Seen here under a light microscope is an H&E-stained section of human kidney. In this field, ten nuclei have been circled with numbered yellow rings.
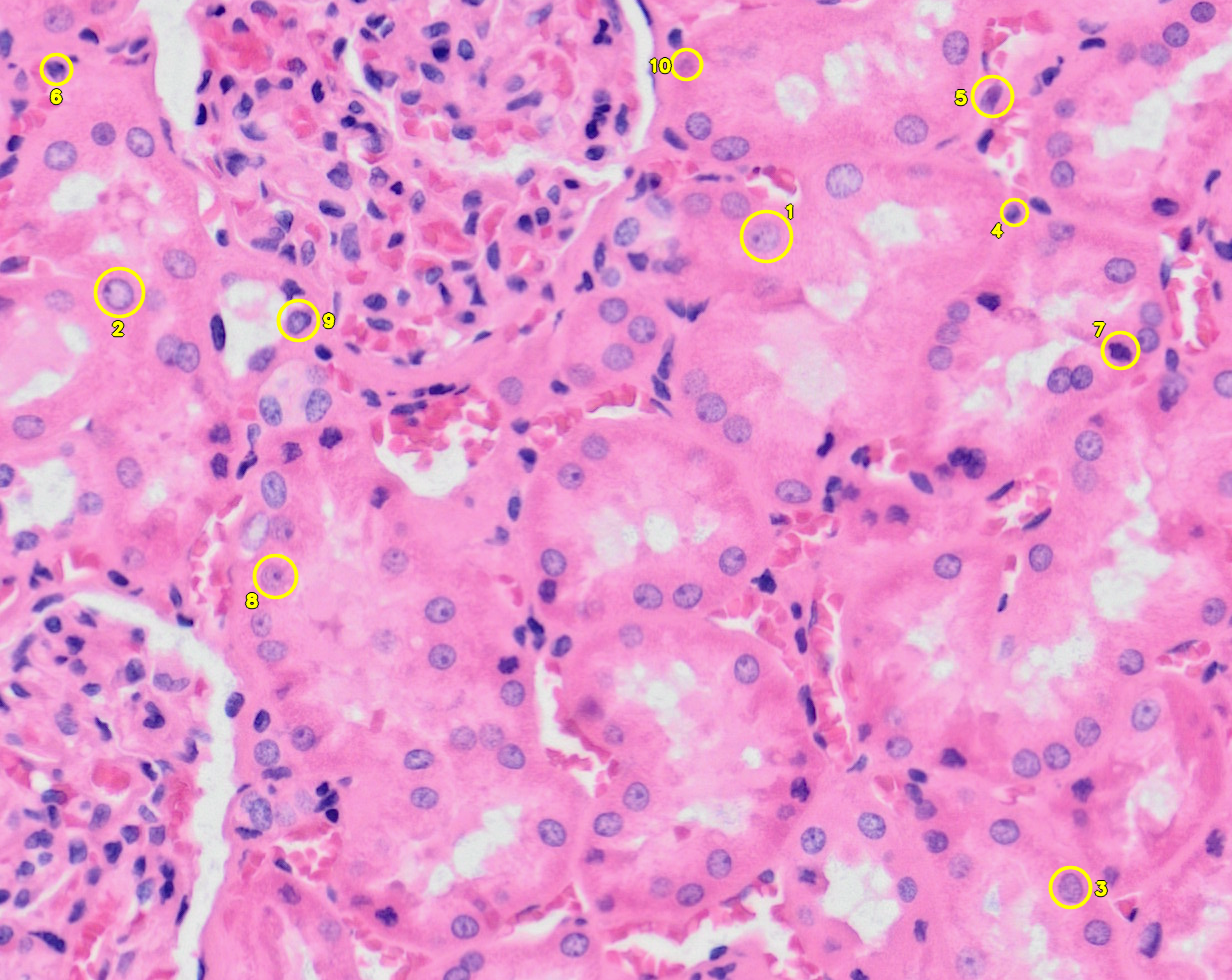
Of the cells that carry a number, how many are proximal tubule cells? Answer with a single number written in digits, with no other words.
6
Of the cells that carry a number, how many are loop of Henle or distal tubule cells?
1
